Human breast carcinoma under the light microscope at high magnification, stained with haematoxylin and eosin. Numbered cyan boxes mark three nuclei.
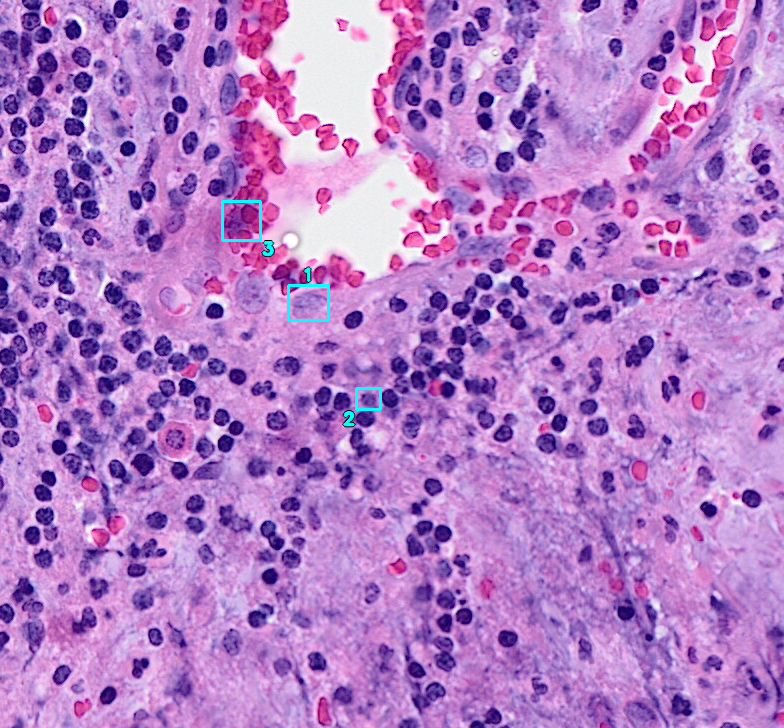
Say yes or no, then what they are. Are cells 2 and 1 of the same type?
No, cell 2 is a lymphocyte and cell 1 is an endothelial cell.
